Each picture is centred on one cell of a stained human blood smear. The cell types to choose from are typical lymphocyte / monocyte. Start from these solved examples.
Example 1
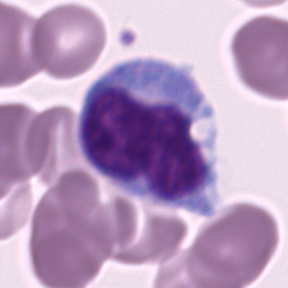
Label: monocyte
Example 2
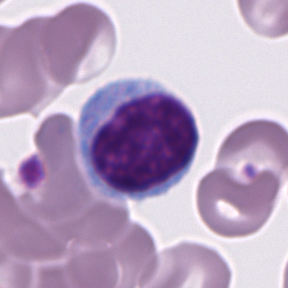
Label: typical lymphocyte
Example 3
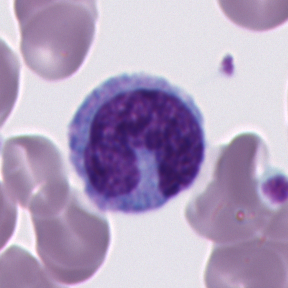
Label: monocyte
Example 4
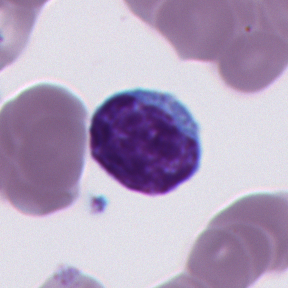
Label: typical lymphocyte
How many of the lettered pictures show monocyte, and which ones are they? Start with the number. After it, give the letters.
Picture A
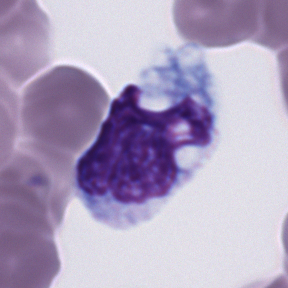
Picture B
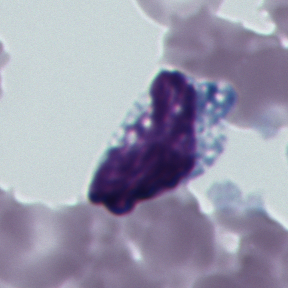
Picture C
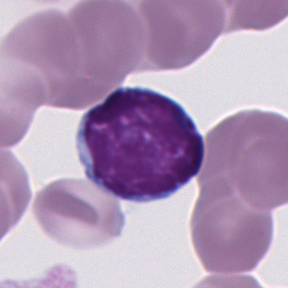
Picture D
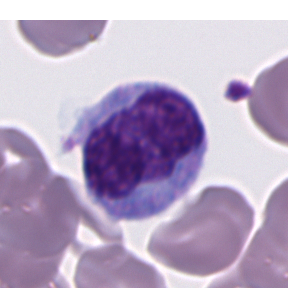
Count: 2 (A, D)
